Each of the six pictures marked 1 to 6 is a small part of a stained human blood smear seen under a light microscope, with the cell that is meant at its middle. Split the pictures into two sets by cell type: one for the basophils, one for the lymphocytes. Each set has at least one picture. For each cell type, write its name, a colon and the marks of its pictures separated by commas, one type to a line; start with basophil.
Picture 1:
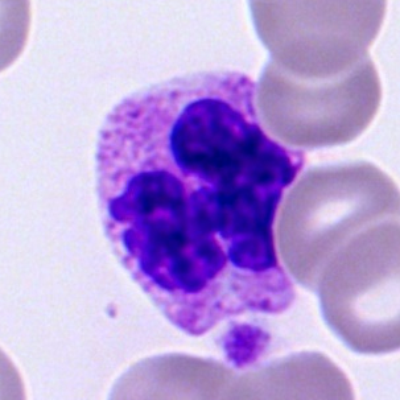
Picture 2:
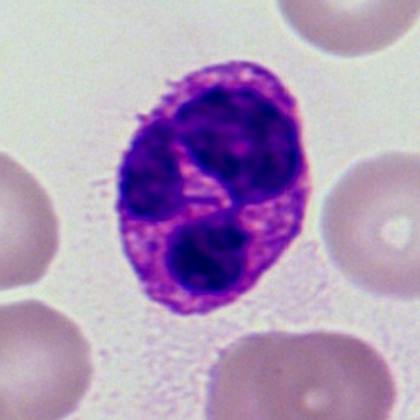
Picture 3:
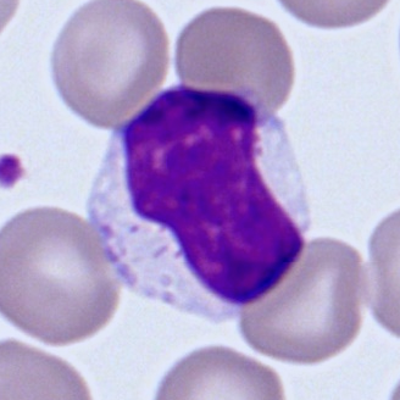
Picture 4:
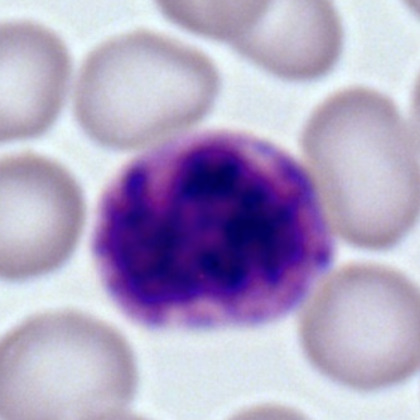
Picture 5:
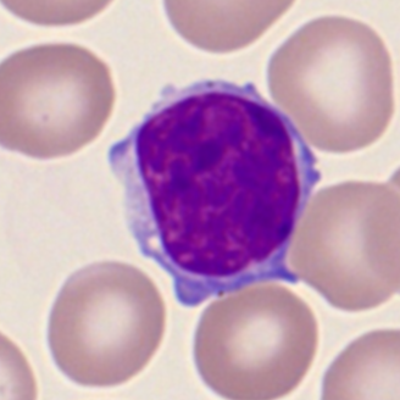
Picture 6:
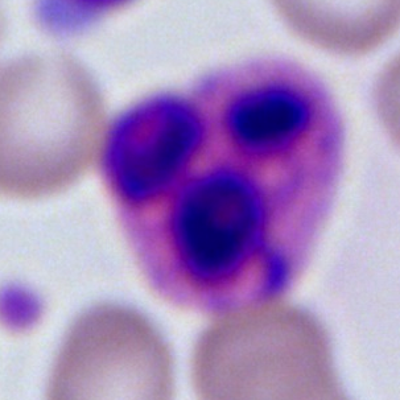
basophil: 1, 2, 4, 6
lymphocyte: 3, 5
